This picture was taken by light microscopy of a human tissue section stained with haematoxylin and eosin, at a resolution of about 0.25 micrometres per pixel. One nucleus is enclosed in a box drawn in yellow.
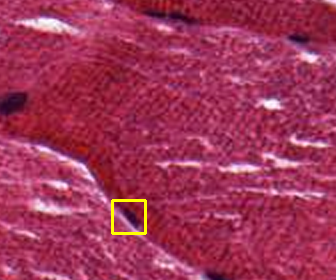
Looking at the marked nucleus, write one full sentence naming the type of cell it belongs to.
The marked nucleus belongs to a skeletal muscle fibre.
